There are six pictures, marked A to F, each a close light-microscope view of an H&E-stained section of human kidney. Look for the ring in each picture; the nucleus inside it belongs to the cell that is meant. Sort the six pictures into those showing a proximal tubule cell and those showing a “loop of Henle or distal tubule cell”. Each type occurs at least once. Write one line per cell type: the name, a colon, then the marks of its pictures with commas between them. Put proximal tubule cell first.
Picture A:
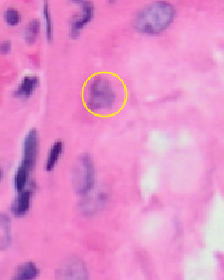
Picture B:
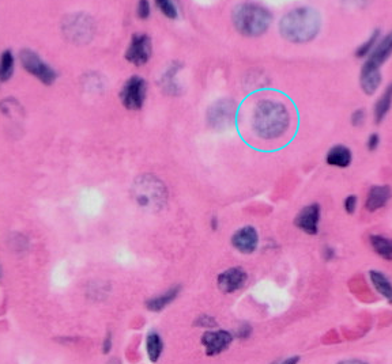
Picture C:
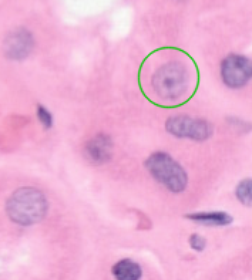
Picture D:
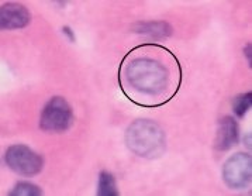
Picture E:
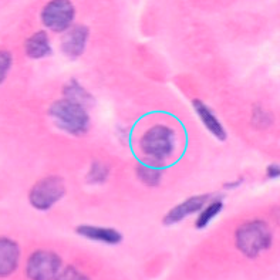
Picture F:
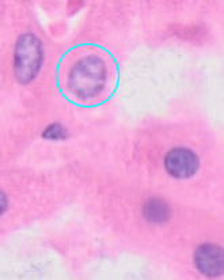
proximal tubule cell: A, C, D, F
loop of Henle or distal tubule cell: B, E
